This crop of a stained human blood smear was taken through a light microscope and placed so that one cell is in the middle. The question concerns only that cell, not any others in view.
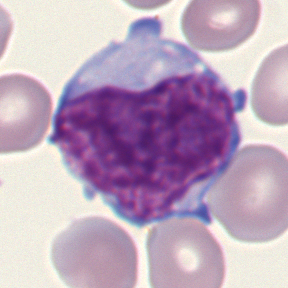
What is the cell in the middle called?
myeloblast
